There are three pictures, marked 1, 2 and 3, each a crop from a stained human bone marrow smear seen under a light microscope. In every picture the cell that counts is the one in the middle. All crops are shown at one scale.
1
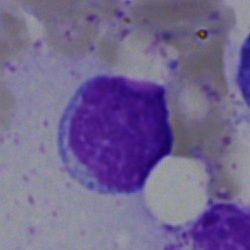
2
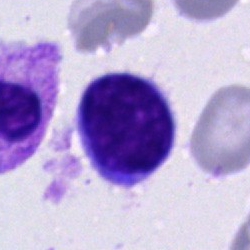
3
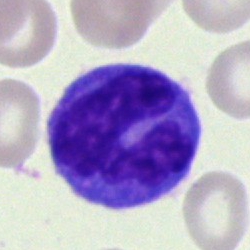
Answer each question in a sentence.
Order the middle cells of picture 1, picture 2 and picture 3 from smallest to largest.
The order is 2, 1, 3, beginning with the smallest.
